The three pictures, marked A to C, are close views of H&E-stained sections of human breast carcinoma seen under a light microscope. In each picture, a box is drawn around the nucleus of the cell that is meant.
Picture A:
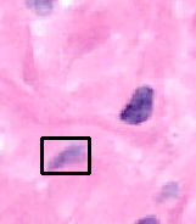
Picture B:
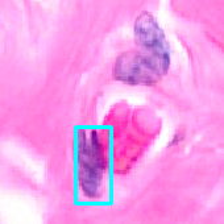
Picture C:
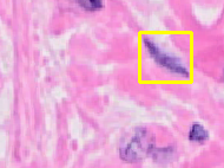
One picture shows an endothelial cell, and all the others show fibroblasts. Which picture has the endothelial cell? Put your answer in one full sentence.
The cell in picture B is the endothelial cell.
